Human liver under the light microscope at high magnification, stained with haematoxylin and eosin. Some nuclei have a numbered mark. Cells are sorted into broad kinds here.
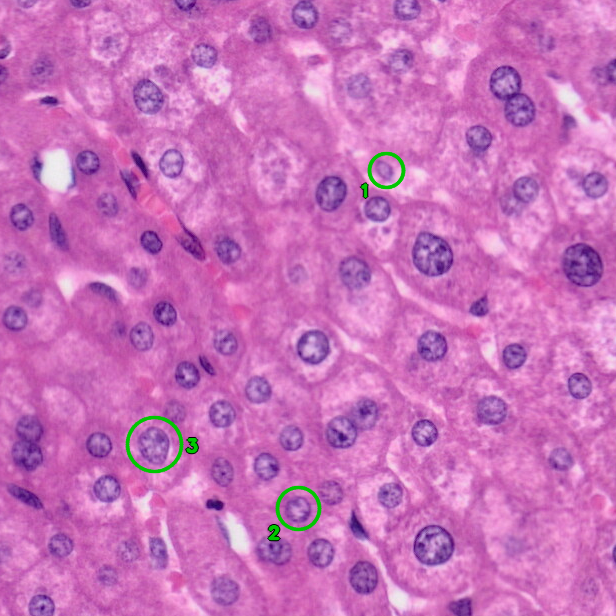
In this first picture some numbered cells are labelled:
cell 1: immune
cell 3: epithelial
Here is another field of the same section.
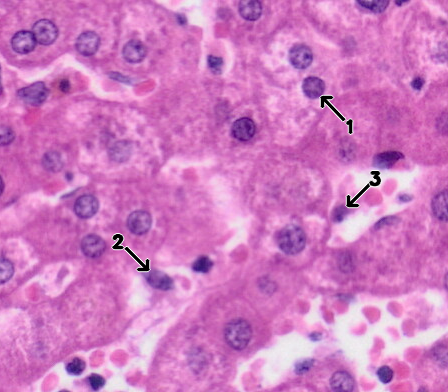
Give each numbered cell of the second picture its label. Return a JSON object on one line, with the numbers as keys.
{"1": "epithelial", "2": "immune", "3": "immune"}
